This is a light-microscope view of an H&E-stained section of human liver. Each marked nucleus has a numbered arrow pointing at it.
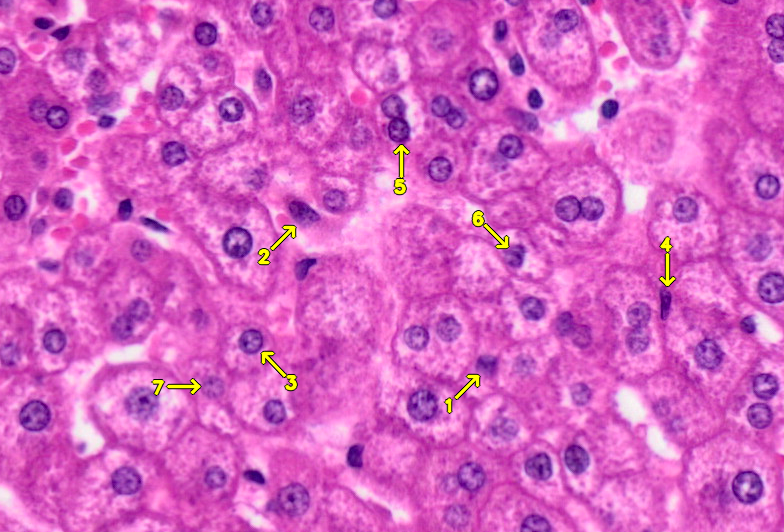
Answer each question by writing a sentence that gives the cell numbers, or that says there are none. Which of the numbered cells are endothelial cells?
Only one of the numbered nuclei, number 1, belongs to an endothelial cell.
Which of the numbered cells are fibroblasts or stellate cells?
Of all the numbered cells, only one is a fibroblast or stellate cell, and that is cell 4.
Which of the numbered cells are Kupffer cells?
Among the numbered cells, the one that is a Kupffer cell is cell 2 alone.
